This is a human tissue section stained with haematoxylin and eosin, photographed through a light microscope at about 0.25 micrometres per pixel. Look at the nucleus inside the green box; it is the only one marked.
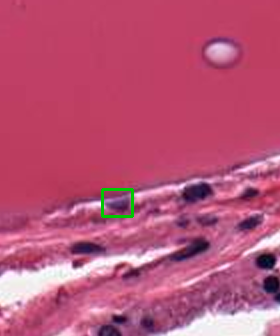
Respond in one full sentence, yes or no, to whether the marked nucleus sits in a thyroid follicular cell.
Yes, the marked nucleus belongs to a thyroid follicular cell in this field.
